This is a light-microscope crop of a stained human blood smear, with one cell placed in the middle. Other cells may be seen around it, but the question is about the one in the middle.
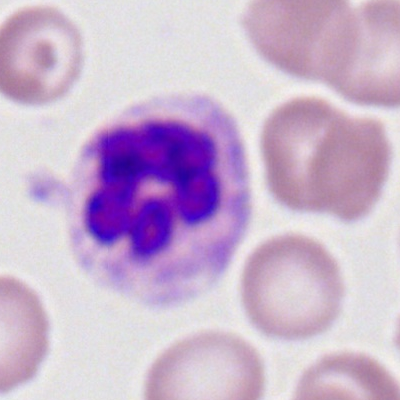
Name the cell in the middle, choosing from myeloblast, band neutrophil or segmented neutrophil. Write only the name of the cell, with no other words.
segmented neutrophil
